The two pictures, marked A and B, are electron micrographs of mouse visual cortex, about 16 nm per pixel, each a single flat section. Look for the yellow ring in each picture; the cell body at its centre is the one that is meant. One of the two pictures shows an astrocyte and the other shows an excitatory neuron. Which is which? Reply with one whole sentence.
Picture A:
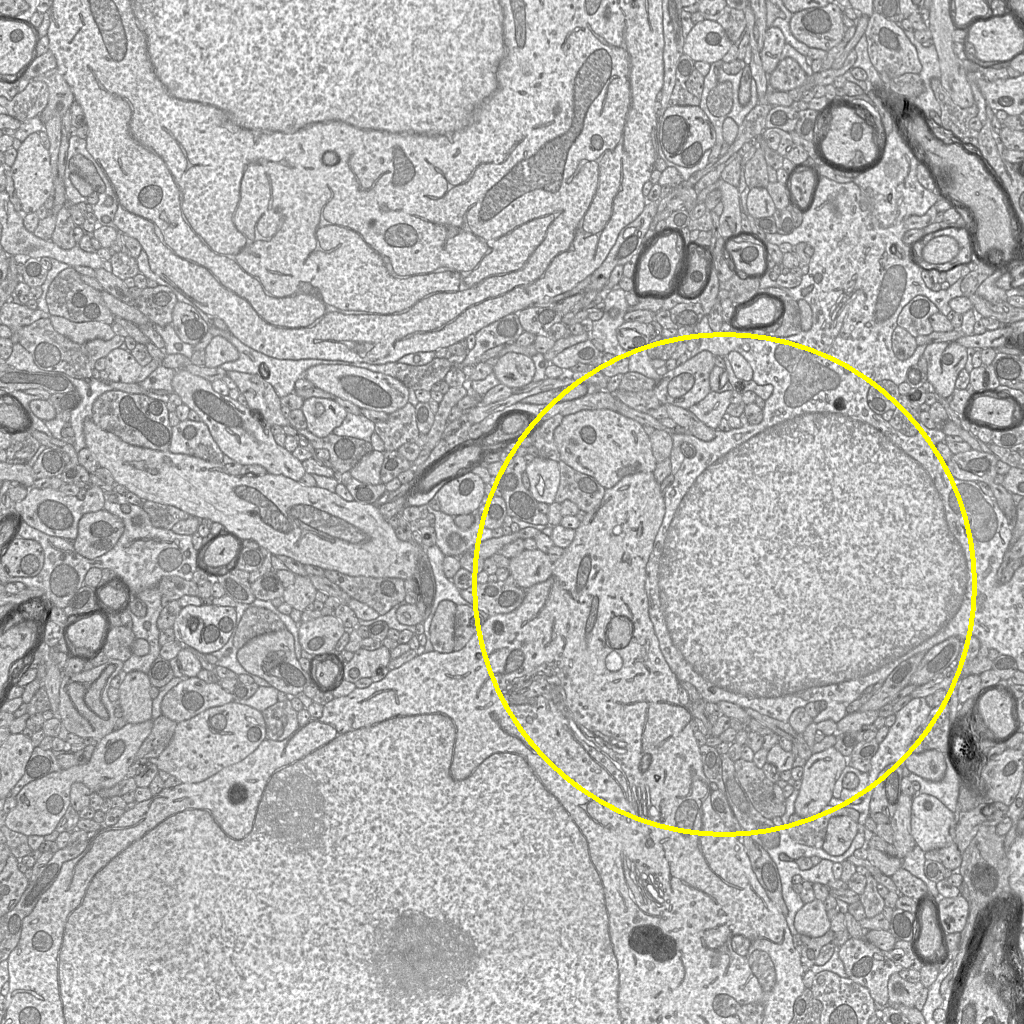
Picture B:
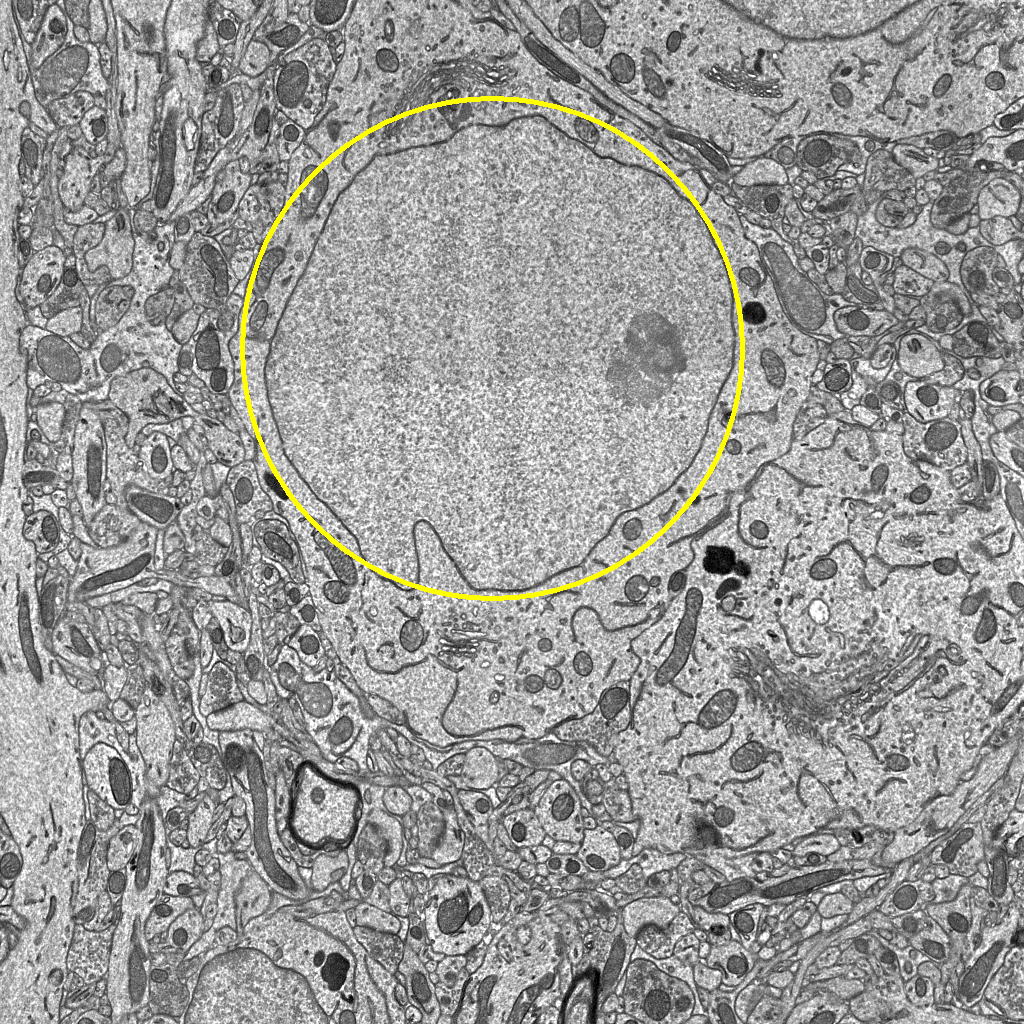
Picture A is of an astrocyte, and picture B is of an excitatory neuron.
